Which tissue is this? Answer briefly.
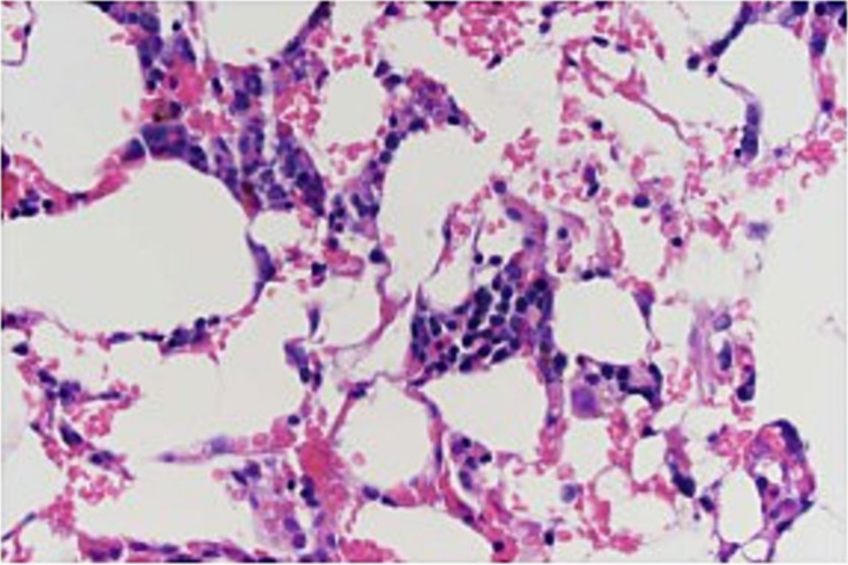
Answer: Bone marrow.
